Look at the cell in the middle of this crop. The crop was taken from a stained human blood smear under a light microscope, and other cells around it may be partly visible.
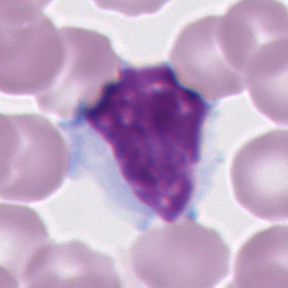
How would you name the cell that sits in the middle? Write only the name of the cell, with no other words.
typical lymphocyte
